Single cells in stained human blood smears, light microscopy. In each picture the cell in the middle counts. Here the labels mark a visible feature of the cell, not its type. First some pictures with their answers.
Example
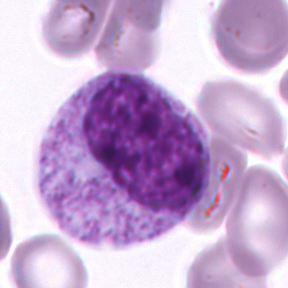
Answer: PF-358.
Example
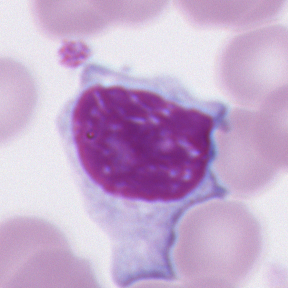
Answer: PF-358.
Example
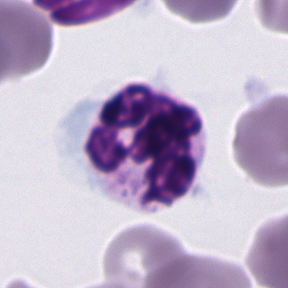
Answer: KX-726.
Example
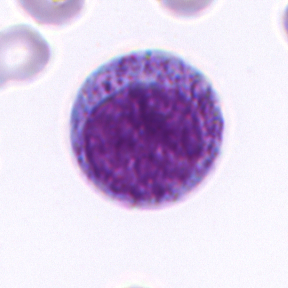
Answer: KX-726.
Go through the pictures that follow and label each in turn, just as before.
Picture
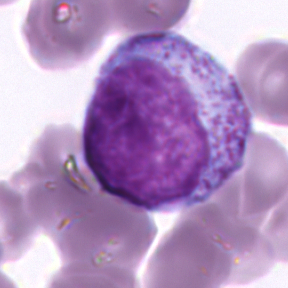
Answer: KX-726.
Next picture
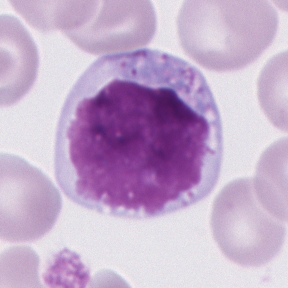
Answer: KX-726.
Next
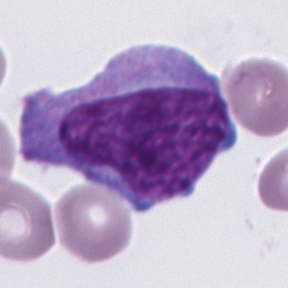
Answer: PF-358.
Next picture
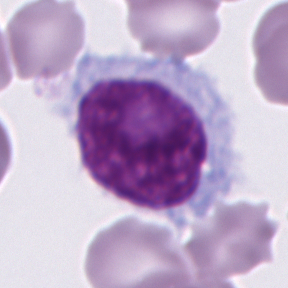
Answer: KX-726.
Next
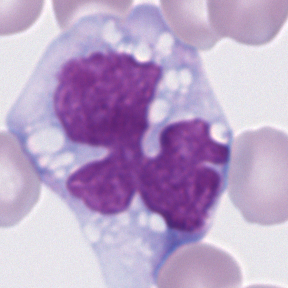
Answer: PF-358.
